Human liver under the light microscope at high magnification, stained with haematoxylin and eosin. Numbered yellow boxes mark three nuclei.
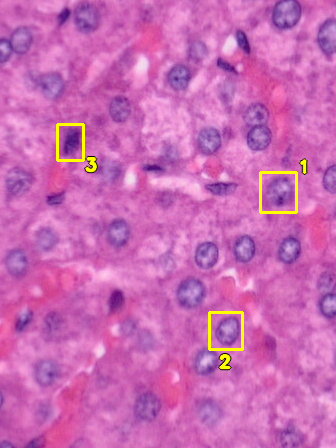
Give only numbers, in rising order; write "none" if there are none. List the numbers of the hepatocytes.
1, 2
